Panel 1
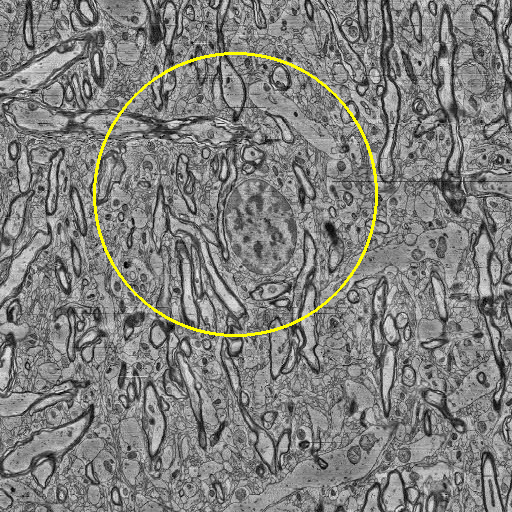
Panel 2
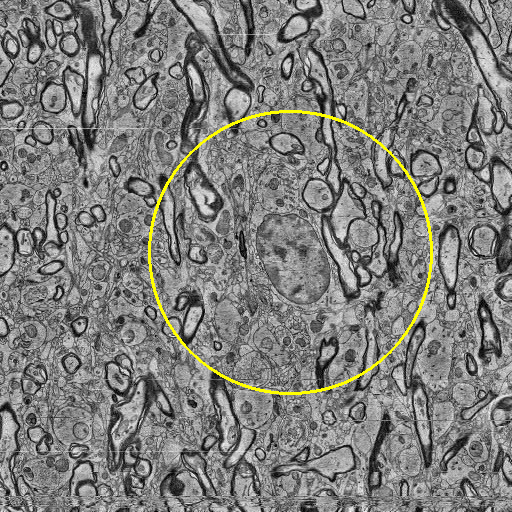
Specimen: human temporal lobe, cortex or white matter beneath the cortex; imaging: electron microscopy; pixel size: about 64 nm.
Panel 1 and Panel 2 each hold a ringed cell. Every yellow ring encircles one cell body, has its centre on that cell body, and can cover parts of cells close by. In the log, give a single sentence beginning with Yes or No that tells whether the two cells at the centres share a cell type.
Yes, in Panel 1 and Panel 2 the centred cells share a cell type.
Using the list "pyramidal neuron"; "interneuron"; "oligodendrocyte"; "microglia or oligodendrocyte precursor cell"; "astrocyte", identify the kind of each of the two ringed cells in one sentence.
Each one of the two ringed cells is a microglial cell or oligodendrocyte precursor cell.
